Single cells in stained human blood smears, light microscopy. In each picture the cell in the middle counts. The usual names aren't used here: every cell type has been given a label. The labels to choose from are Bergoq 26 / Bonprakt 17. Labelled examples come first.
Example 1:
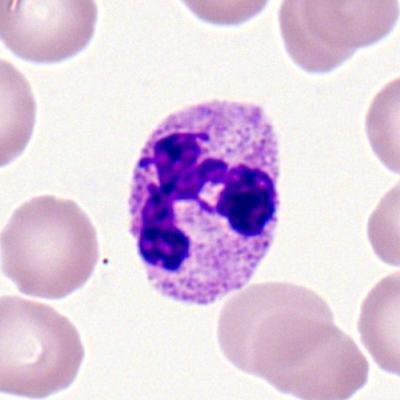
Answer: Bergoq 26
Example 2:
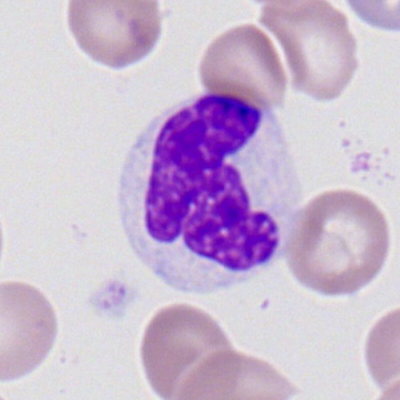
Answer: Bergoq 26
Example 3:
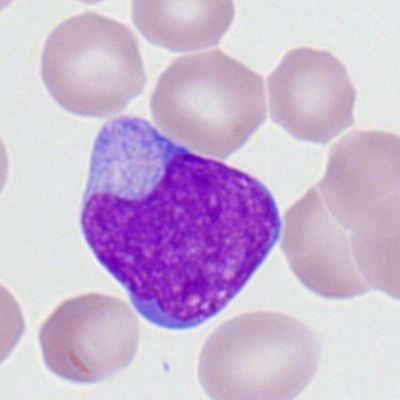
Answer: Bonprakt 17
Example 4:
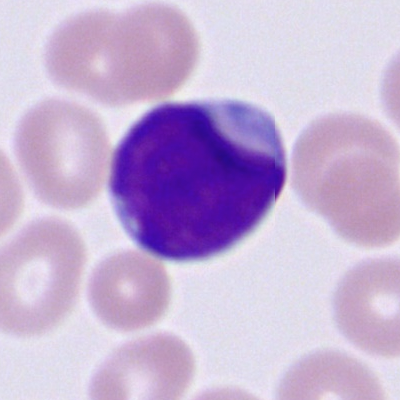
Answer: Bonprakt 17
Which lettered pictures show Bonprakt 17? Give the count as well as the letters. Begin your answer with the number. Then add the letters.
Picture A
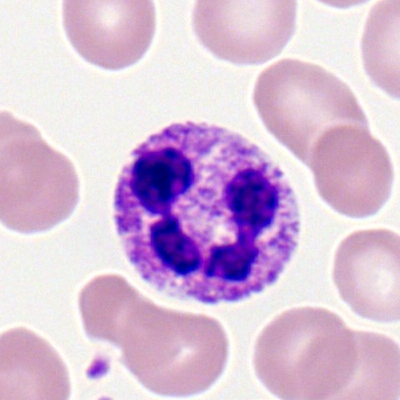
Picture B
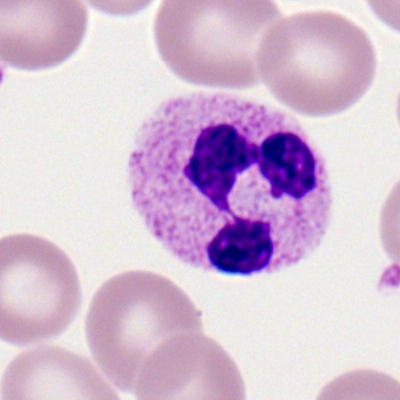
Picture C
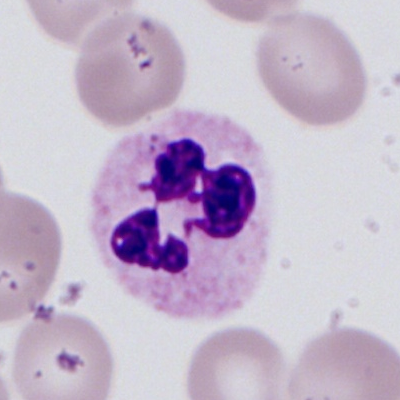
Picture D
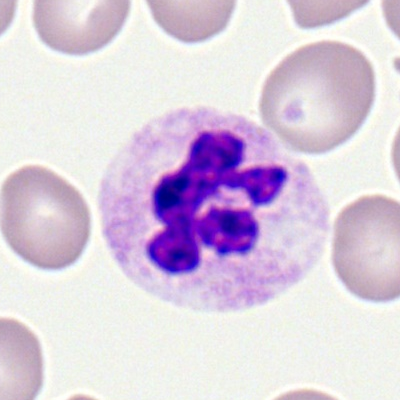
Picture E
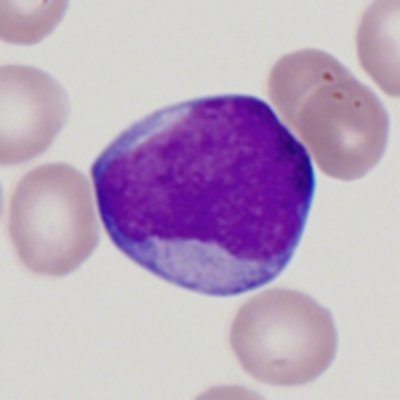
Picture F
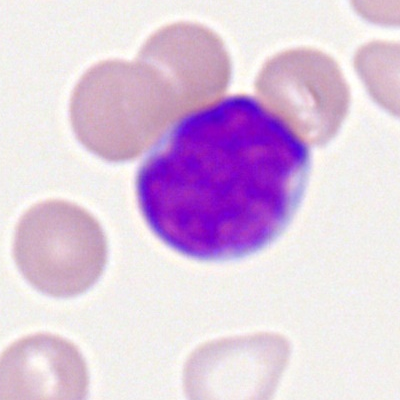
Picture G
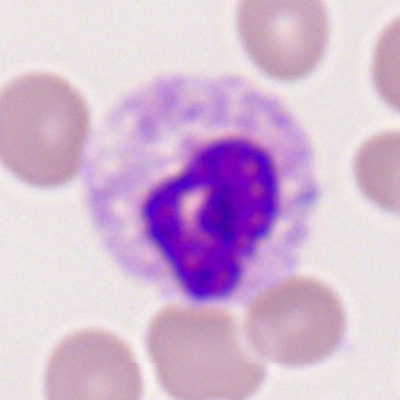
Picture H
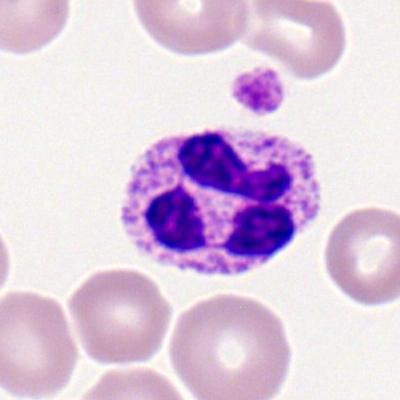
2, namely E, F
